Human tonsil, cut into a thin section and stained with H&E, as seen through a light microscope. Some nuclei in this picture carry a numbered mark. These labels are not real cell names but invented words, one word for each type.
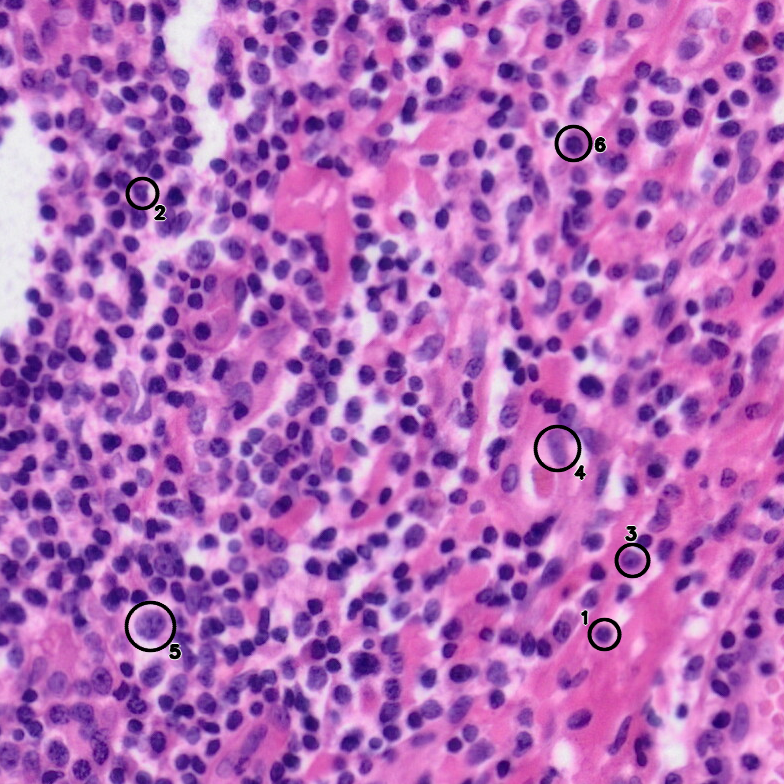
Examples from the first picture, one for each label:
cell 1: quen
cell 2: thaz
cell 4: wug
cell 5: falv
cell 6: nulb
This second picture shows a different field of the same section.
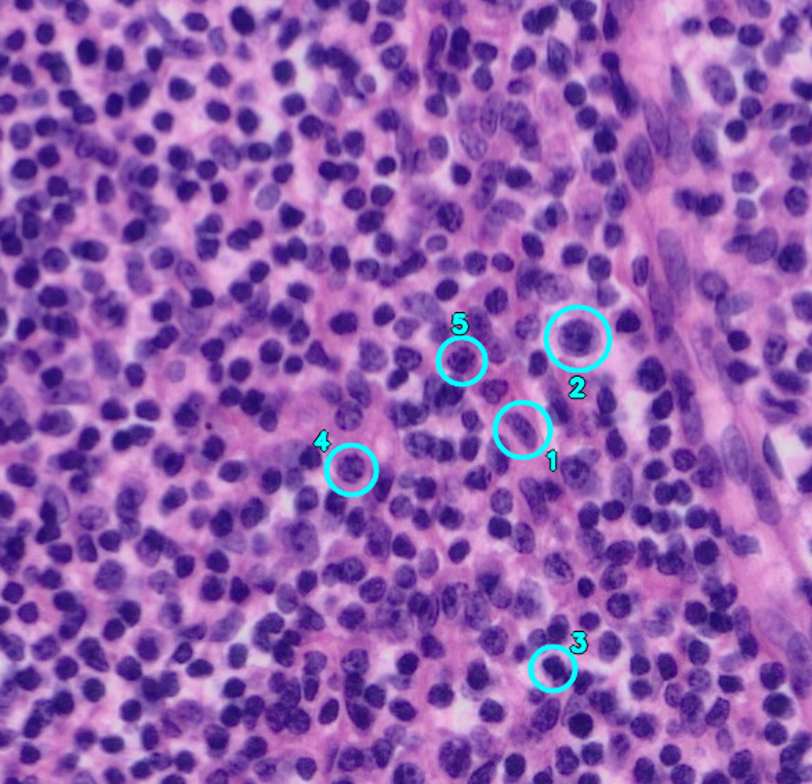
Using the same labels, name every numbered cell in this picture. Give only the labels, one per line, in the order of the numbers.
wug
falv
thaz
nulb
nulb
